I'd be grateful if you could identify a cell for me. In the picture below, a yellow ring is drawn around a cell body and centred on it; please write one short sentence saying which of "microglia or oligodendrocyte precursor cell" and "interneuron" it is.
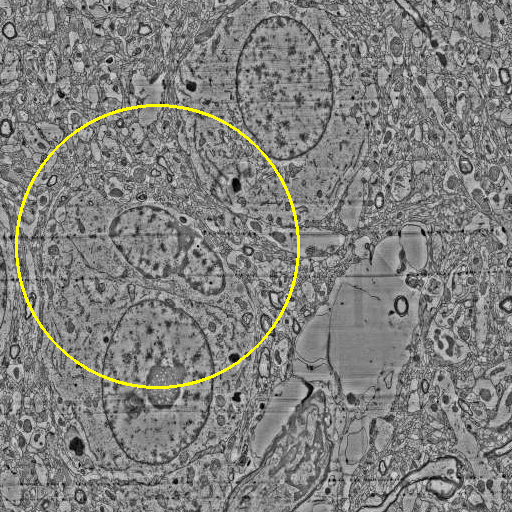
The cell under the ring's centre is a microglial cell or oligodendrocyte precursor cell.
